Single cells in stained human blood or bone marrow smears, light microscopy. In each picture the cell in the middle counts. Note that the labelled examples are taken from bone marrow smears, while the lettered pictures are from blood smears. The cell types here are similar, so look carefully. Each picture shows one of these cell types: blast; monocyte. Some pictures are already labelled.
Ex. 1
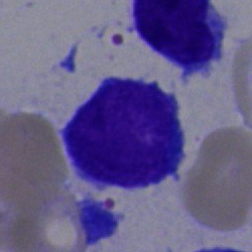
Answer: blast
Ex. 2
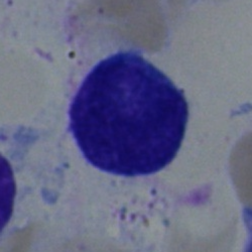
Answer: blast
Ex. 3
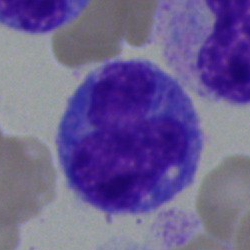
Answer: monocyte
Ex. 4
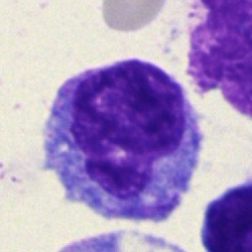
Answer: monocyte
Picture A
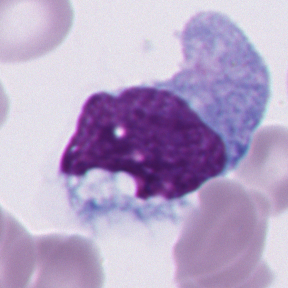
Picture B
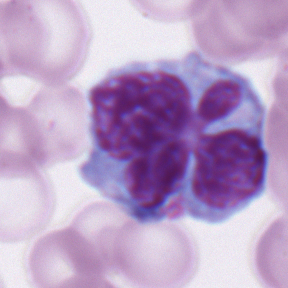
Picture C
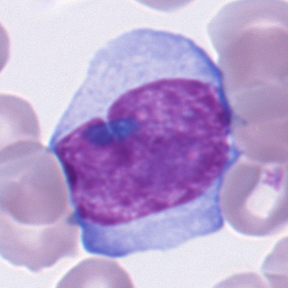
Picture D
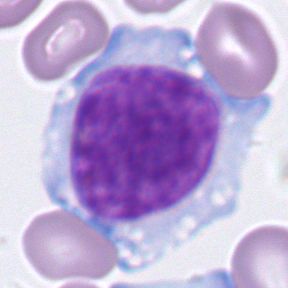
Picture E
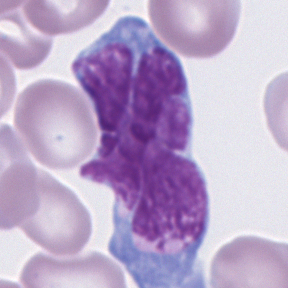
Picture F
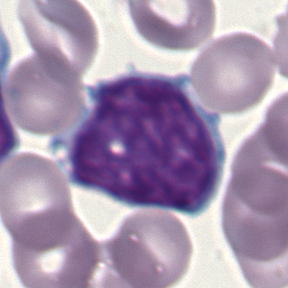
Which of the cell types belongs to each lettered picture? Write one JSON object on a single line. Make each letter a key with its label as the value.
{"A": "monocyte", "B": "monocyte", "C": "blast", "D": "blast", "E": "blast", "F": "blast"}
